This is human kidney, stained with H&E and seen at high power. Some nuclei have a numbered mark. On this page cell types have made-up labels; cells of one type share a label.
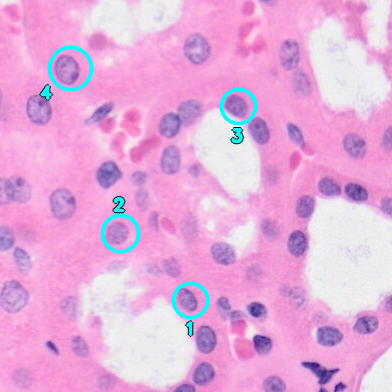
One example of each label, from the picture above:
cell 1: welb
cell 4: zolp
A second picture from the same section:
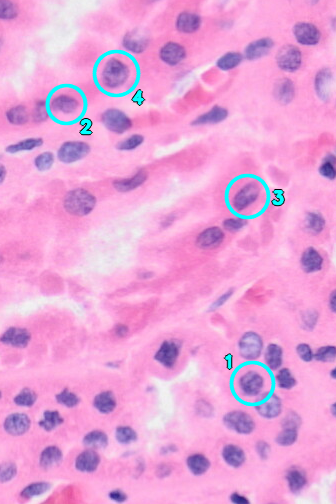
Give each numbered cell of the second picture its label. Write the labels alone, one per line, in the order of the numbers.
welb
zolp
zolp
zolp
